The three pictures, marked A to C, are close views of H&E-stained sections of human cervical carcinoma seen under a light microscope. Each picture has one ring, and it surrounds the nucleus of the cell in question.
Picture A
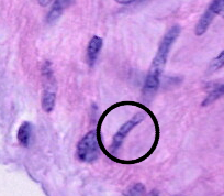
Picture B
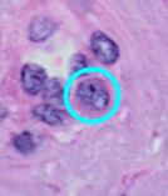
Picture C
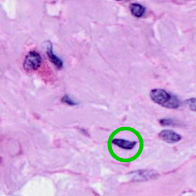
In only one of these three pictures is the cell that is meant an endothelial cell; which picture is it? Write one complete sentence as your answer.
The picture with the endothelial cell is B.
